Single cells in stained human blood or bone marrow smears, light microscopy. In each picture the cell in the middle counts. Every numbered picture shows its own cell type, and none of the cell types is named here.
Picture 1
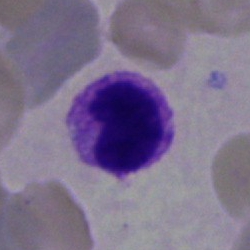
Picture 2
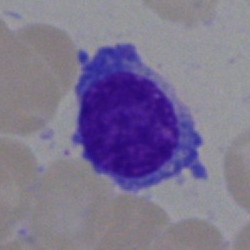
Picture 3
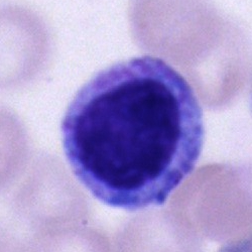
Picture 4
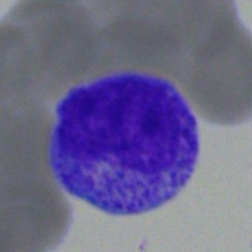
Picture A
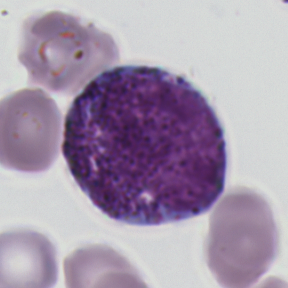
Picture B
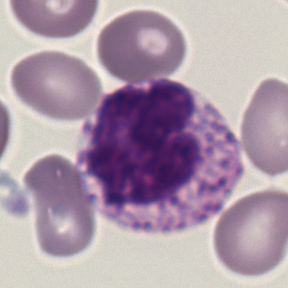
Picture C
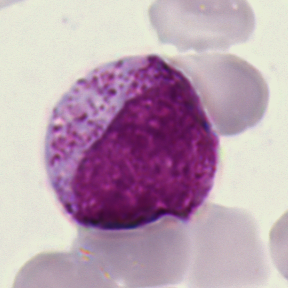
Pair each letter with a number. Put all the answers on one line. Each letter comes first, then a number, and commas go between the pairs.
A 4, B 1, C 3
